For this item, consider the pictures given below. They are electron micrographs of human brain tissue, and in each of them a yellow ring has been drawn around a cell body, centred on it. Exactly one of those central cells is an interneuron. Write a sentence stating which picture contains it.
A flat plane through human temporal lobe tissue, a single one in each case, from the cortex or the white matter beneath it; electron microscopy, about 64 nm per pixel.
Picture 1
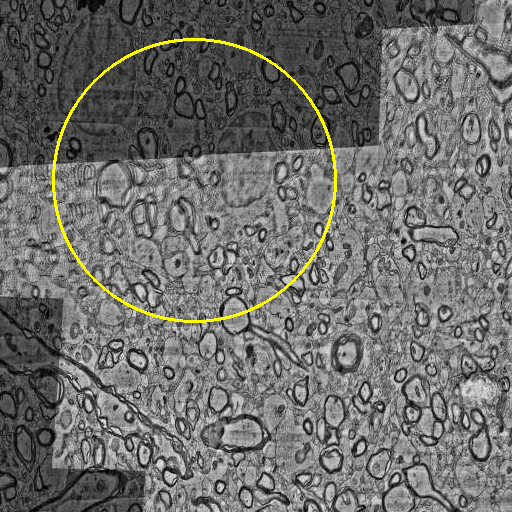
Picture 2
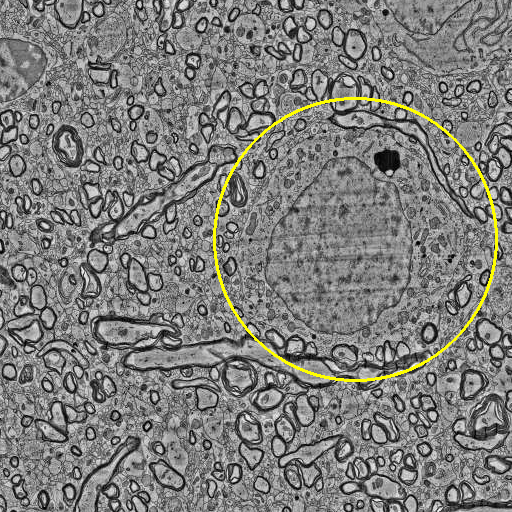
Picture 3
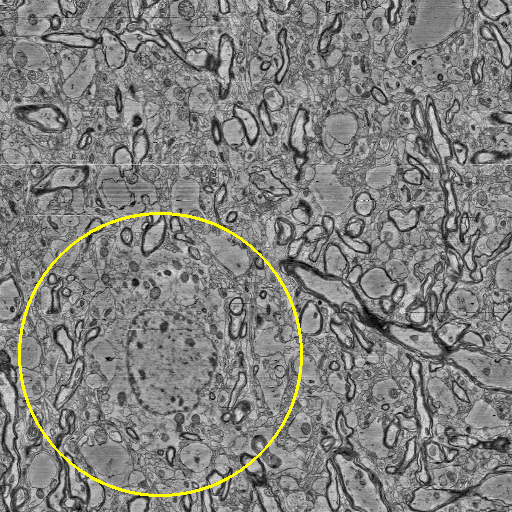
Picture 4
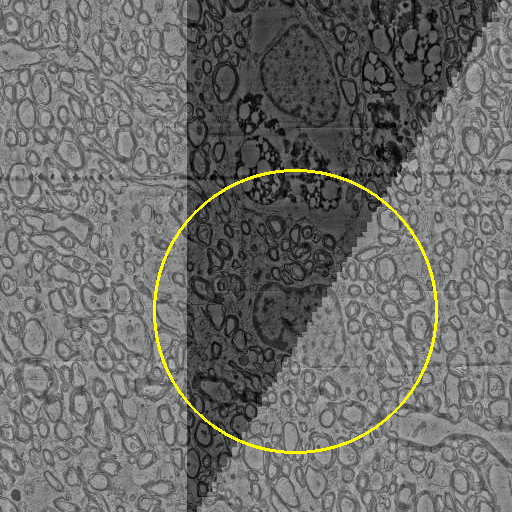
It is in Picture 2.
